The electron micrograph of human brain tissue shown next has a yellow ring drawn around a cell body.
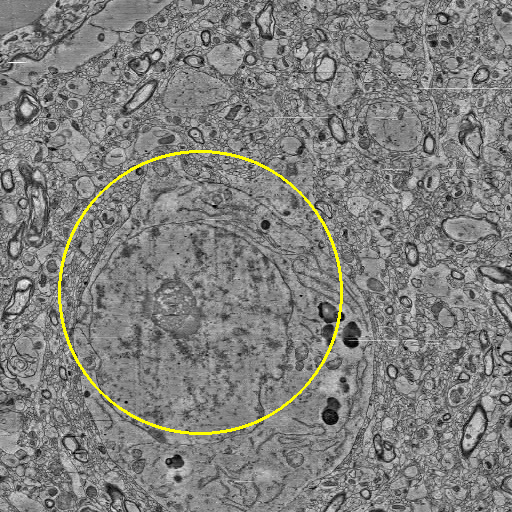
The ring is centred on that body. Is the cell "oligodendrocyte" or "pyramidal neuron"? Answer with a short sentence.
The cell in question is a pyramidal neuron.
